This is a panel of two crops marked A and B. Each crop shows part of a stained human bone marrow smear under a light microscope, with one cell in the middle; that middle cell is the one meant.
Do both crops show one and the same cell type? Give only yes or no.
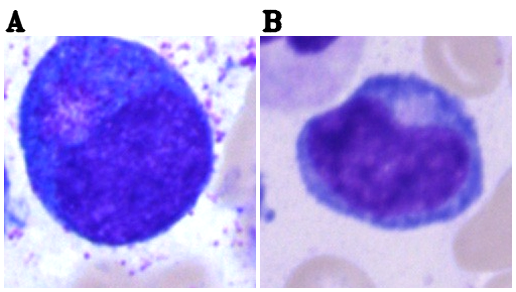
no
